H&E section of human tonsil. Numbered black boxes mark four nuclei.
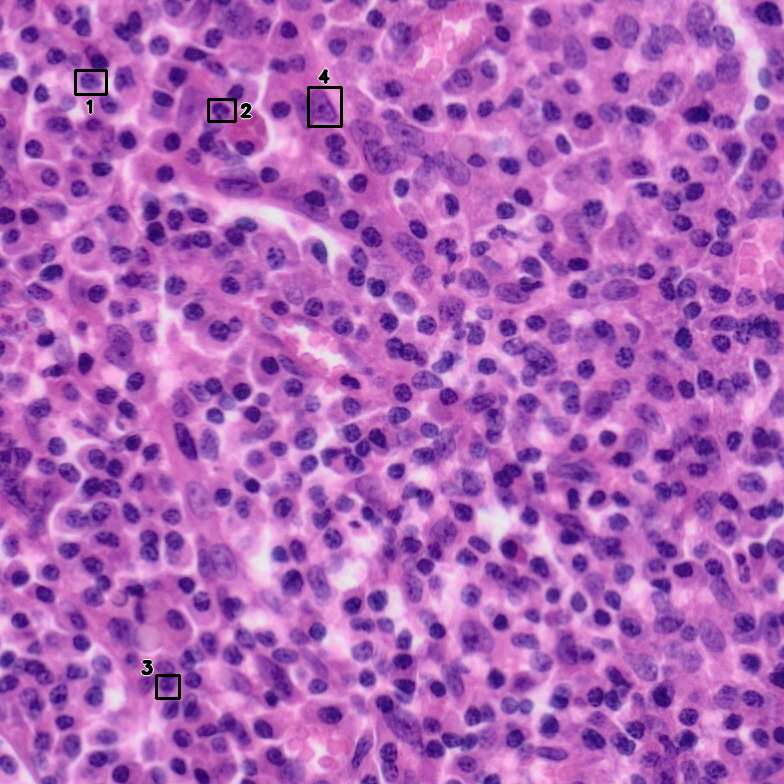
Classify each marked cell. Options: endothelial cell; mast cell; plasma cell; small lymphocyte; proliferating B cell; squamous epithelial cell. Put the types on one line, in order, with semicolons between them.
plasma cell; plasma cell; plasma cell; squamous epithelial cell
